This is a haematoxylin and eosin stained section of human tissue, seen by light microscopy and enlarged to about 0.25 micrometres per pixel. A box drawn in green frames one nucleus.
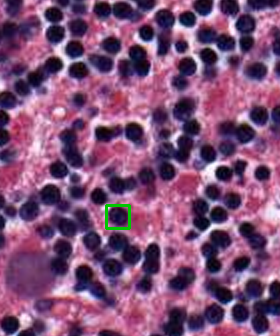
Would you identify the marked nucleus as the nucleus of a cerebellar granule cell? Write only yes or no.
yes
